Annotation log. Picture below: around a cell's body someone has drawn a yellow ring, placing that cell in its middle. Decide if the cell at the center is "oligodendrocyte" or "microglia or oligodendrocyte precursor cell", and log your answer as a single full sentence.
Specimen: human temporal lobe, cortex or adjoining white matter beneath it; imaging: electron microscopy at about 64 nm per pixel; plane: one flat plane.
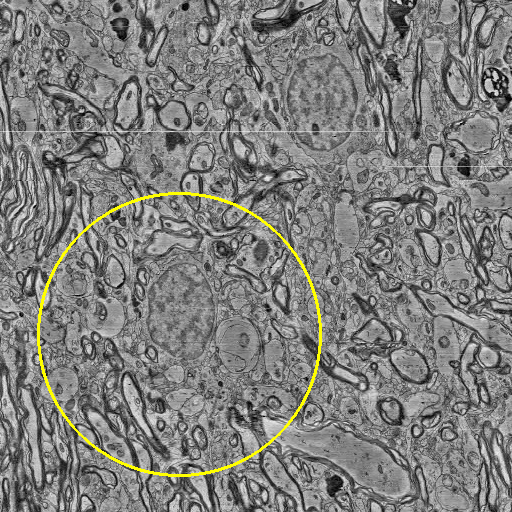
My entry records an oligodendrocyte as the cell sitting at the center of the yellow ring.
